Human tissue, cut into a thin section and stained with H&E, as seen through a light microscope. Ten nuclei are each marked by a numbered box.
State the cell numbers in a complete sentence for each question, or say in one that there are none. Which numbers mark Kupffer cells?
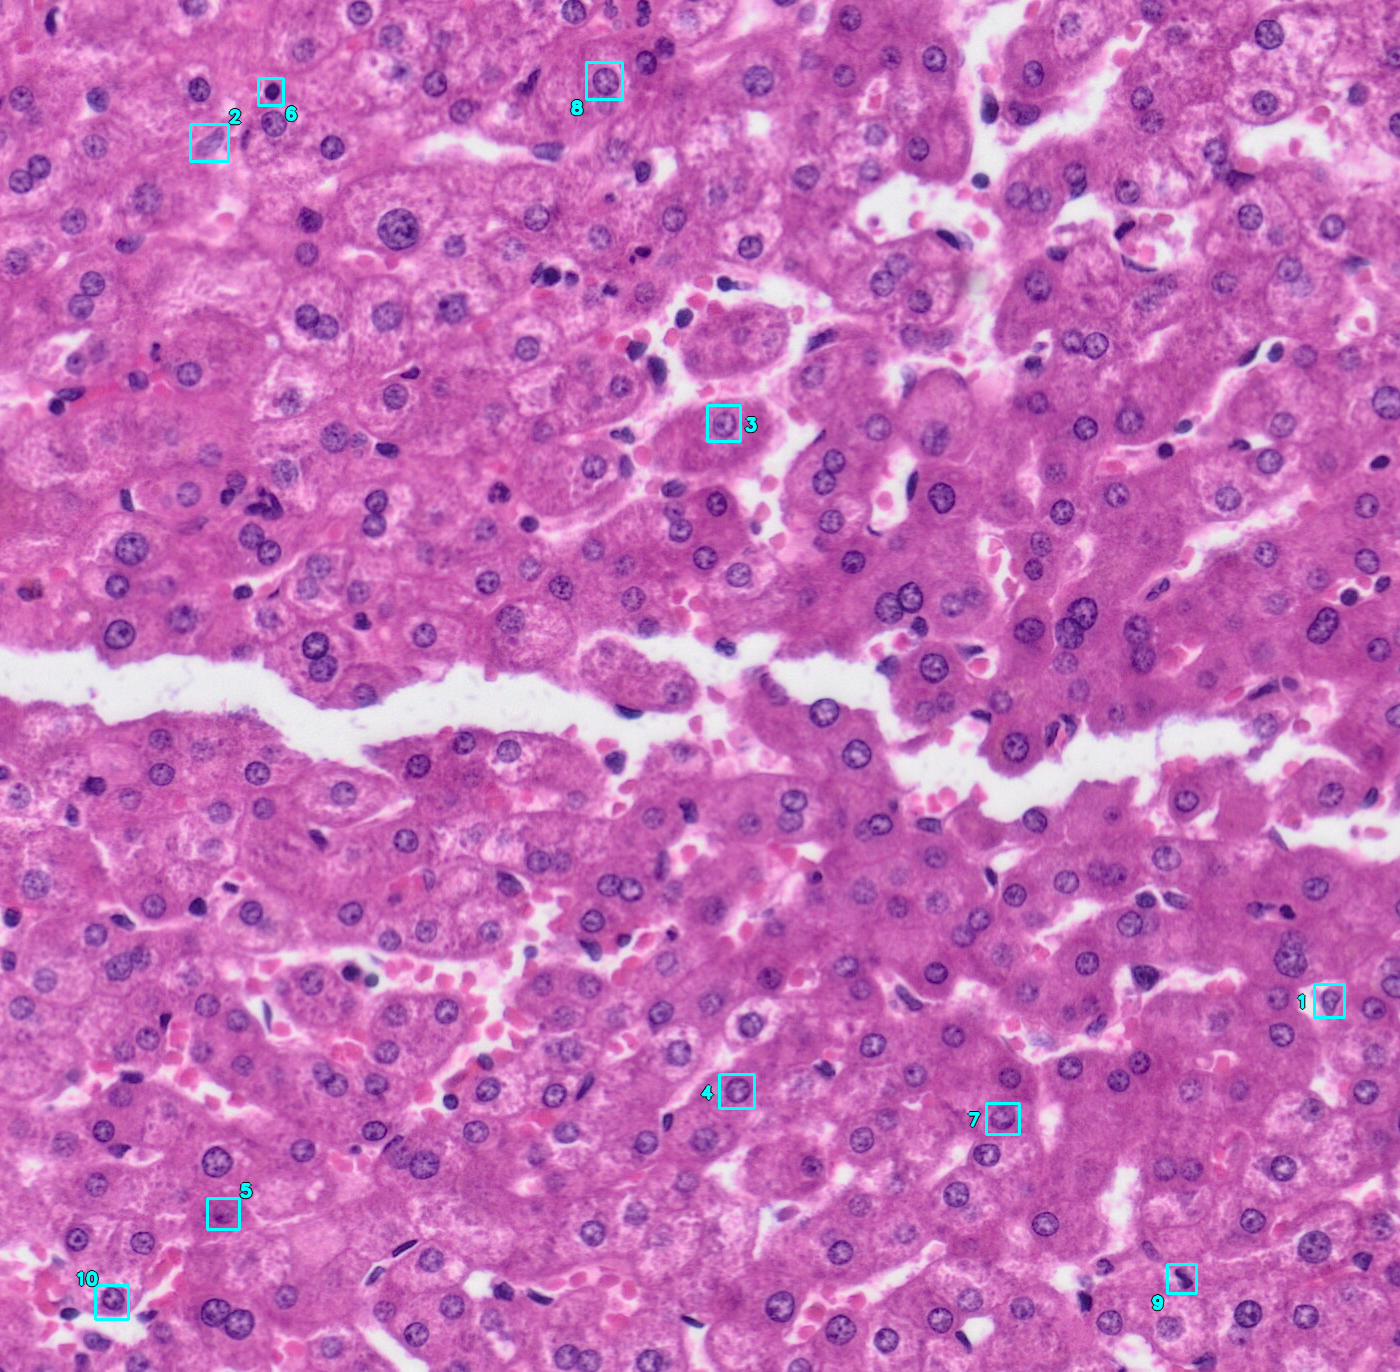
The cells which carry the numbers 1 and 2 are Kupffer cells.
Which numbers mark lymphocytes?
Only one marked cell, number 6, is a lymphocyte.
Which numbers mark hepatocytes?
The cells with labels 3, 4, 5, 7, 8 and 10 are hepatocytes.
